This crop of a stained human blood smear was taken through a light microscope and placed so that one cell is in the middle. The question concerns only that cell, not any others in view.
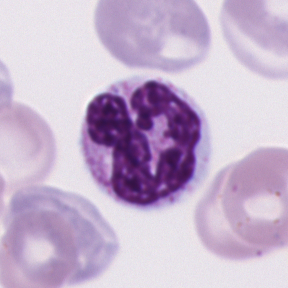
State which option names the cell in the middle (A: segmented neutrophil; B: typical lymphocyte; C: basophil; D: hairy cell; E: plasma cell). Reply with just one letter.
A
